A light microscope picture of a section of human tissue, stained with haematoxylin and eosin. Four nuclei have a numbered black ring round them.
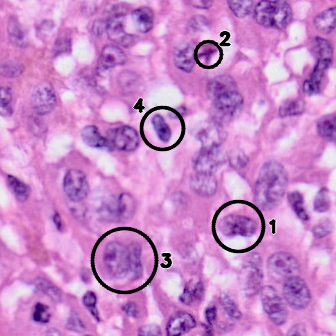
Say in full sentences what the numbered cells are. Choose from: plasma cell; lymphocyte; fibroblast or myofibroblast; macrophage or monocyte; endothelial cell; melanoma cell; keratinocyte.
Cell 1 is a melanoma cell, cell 2 is a melanoma cell, cell 3 is a melanoma cell and cell 4 is a lymphocyte.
